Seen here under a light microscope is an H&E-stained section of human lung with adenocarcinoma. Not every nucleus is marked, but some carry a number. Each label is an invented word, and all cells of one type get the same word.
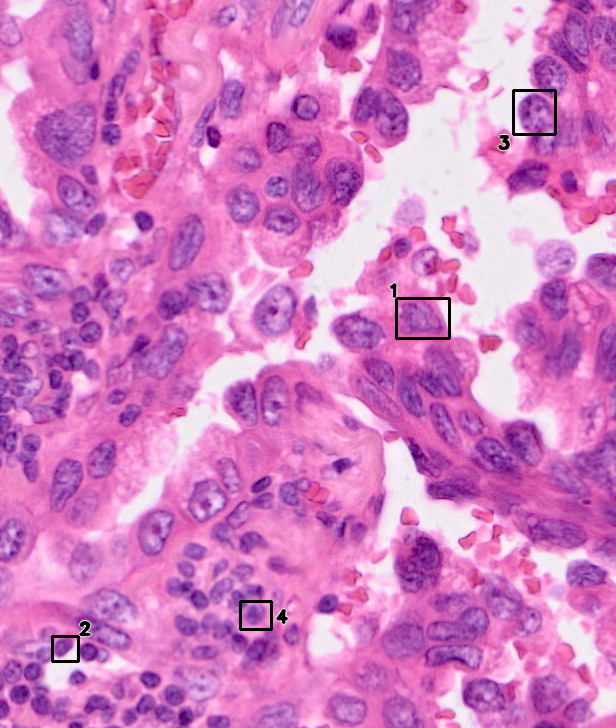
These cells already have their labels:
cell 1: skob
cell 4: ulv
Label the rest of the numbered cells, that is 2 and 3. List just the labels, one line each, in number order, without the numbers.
ulv
skob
